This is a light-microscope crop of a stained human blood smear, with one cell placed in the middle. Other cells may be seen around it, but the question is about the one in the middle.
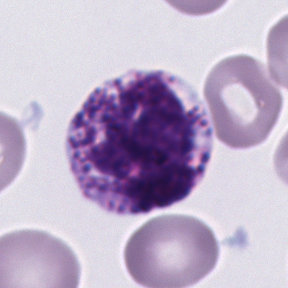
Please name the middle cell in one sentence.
The centrally positioned cell in the crop represents a basophil.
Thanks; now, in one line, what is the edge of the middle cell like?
Smooth edges only, with no spikes, blebs, or other projections.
